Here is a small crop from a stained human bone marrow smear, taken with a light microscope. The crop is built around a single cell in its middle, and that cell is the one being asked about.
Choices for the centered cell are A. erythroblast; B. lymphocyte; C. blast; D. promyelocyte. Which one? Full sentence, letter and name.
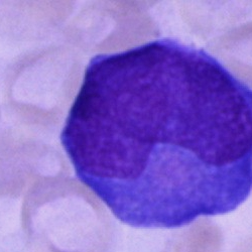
The centered cell is a blast, which is why option C is right.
